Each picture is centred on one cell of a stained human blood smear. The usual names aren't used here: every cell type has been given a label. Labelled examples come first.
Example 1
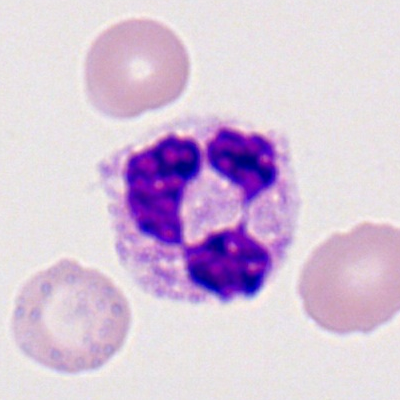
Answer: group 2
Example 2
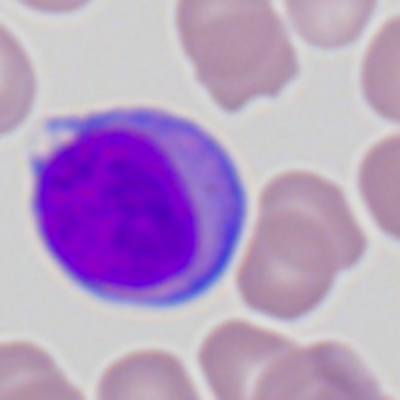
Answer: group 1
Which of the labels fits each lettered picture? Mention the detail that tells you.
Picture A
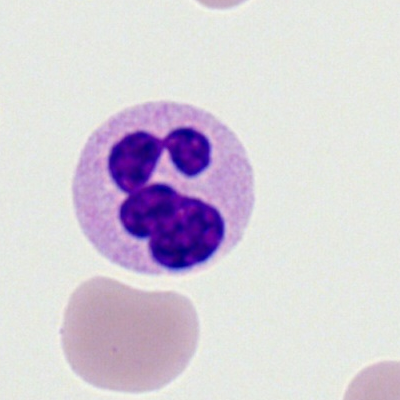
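group 2: The cytoplasm is plentiful and pale pinkish-lilac.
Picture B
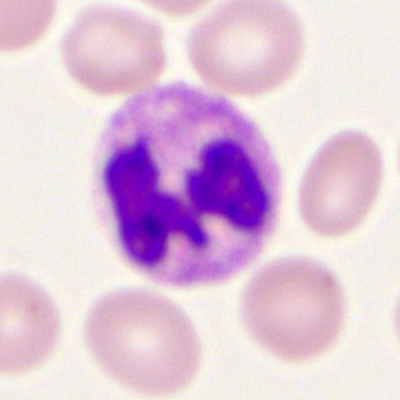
group 2: The cytoplasm is plentiful and pale pinkish-lilac.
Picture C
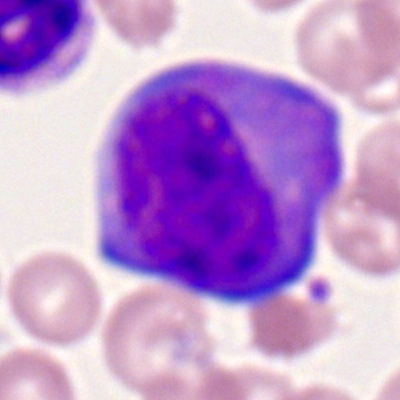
group 1: The cytoplasm is blue.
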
